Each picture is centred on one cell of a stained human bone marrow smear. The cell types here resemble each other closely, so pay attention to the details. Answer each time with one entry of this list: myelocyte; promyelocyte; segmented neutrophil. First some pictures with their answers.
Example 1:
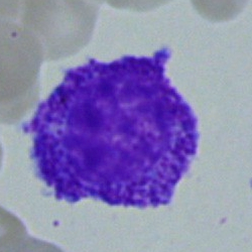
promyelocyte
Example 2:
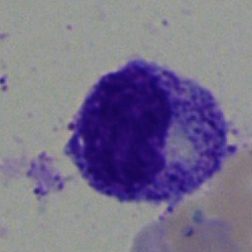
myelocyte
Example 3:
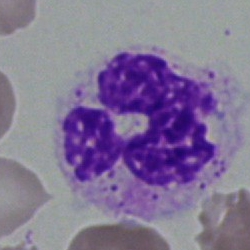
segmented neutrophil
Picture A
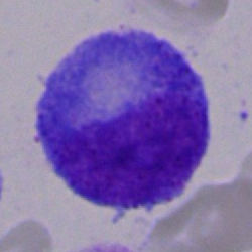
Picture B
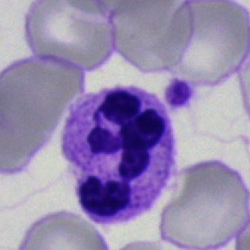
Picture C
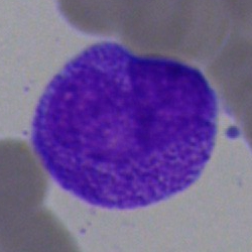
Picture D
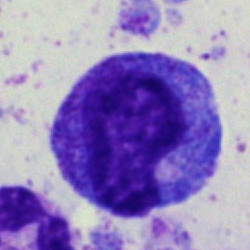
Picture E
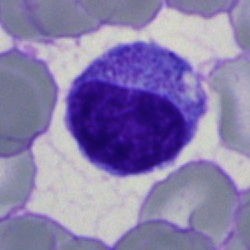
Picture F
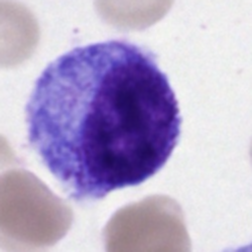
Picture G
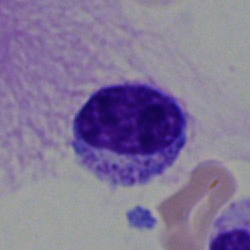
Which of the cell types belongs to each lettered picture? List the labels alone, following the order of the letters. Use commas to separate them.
promyelocyte, segmented neutrophil, promyelocyte, promyelocyte, myelocyte, promyelocyte, myelocyte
